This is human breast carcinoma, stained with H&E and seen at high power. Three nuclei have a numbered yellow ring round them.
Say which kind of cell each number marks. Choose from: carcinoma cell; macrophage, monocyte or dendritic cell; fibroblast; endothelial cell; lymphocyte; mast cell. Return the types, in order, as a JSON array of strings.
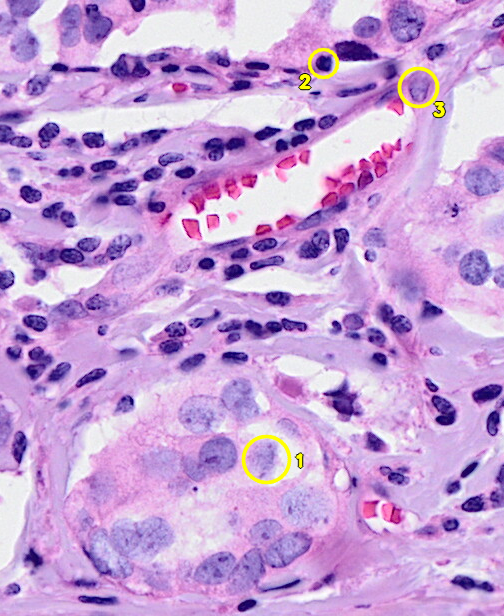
["carcinoma cell", "lymphocyte", "endothelial cell"]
